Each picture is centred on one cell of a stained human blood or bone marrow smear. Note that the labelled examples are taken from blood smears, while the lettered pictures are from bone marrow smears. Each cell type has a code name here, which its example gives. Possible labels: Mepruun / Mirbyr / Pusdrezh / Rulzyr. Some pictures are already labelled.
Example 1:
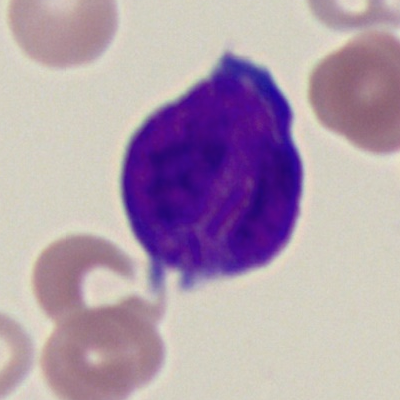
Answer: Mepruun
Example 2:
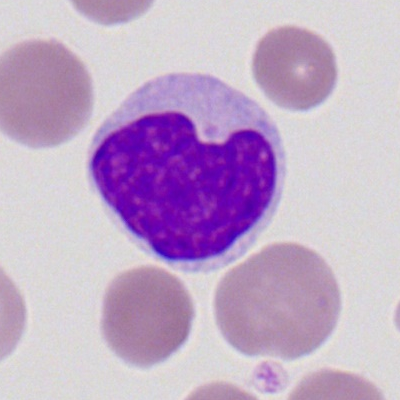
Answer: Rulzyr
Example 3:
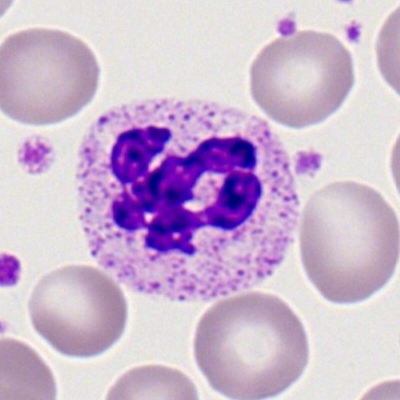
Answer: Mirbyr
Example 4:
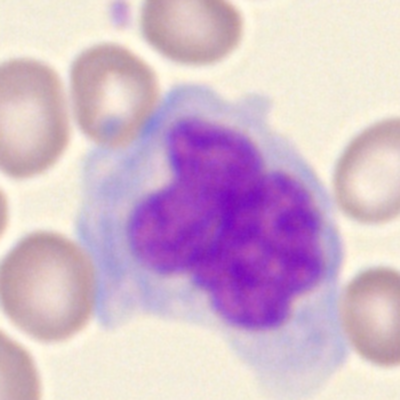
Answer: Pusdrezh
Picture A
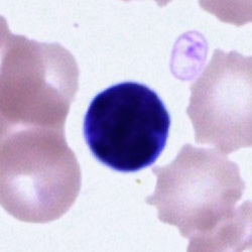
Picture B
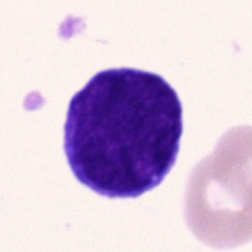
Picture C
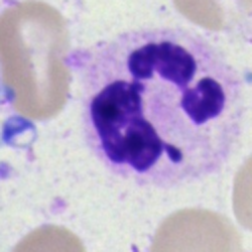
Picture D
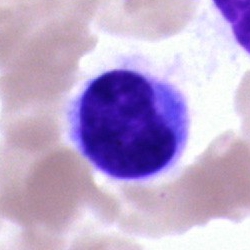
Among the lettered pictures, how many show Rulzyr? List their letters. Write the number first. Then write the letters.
Count: 2 (A, D)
